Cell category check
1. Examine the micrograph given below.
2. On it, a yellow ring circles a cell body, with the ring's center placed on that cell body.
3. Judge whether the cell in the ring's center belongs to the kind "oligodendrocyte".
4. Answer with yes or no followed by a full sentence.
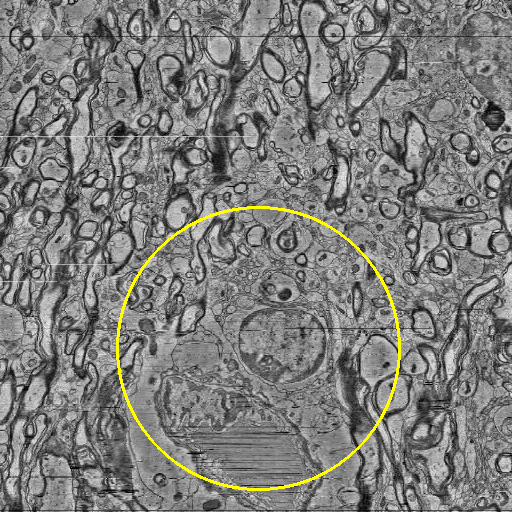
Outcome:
No, the cell found at the ring's center in the micrograph belongs to another kind.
